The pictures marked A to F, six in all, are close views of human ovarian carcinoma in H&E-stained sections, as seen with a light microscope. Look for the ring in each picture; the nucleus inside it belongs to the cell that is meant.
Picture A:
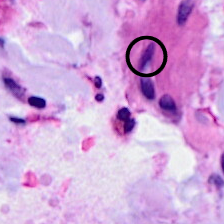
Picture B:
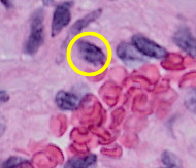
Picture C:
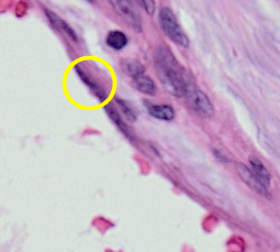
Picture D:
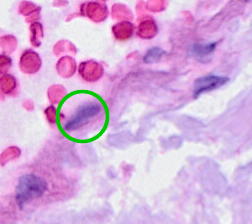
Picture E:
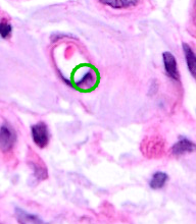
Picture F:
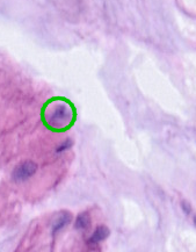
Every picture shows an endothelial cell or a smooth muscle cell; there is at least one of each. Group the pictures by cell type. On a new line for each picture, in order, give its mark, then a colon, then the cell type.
A: smooth muscle cell
B: endothelial cell
C: endothelial cell
D: endothelial cell
E: endothelial cell
F: smooth muscle cell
